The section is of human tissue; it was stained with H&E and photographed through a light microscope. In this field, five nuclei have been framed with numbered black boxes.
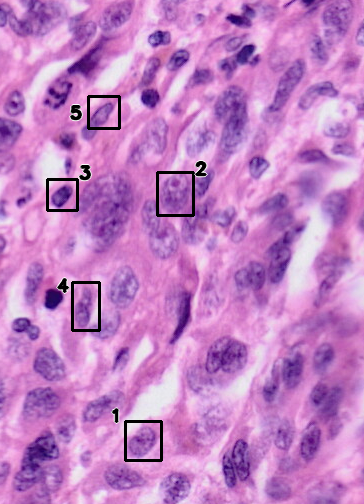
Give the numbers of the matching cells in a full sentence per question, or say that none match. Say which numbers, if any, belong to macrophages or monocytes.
Cell 5 is a macrophage or monocyte; no further numbered cell is.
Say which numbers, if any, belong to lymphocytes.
Of the cells bearing numbers, the only one that is a lymphocyte is cell 3.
